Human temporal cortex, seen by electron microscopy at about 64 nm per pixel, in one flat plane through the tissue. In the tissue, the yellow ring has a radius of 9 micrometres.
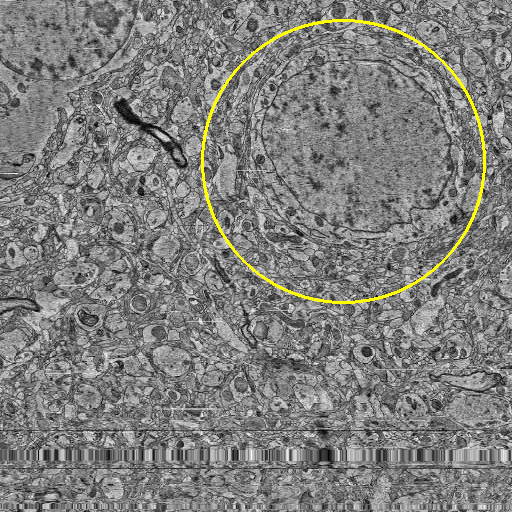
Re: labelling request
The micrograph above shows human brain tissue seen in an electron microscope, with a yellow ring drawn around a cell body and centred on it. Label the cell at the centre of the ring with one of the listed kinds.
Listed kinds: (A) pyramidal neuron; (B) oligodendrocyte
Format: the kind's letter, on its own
A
